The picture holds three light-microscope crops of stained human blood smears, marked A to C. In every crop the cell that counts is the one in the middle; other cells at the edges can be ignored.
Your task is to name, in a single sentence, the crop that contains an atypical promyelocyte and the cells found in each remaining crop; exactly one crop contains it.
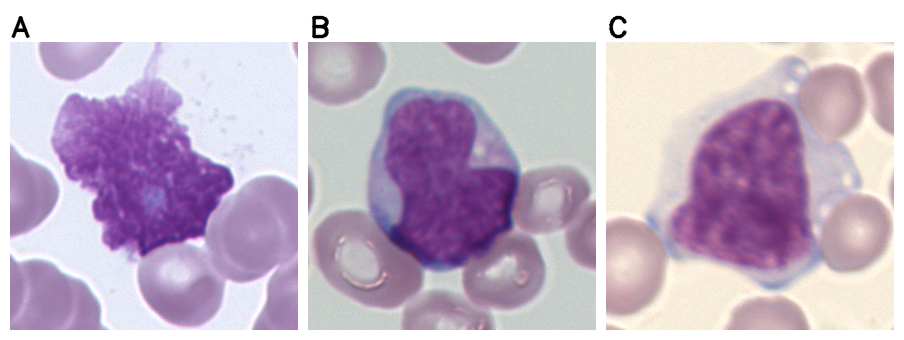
Crop B is read as an atypical promyelocyte, while crop A is a smudge cell and crop C is a myeloblast.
